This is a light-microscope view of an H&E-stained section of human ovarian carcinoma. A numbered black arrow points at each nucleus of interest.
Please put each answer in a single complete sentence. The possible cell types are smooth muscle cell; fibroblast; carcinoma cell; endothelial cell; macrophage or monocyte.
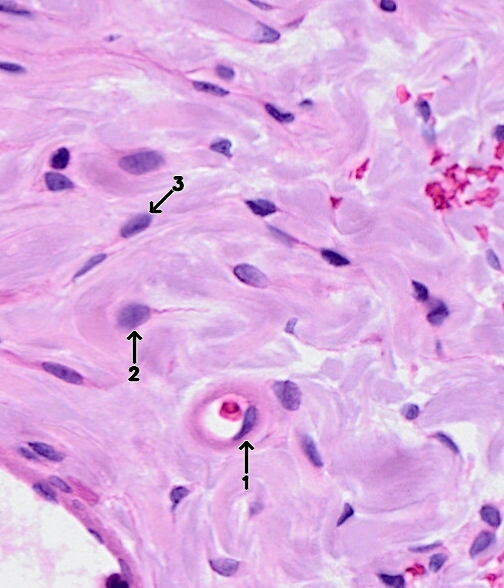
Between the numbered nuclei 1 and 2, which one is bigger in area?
It is nucleus 2, which covers about 2 times the area of nucleus 1.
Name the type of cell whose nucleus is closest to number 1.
It is a fibroblast whose nucleus is nearest to number 1.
